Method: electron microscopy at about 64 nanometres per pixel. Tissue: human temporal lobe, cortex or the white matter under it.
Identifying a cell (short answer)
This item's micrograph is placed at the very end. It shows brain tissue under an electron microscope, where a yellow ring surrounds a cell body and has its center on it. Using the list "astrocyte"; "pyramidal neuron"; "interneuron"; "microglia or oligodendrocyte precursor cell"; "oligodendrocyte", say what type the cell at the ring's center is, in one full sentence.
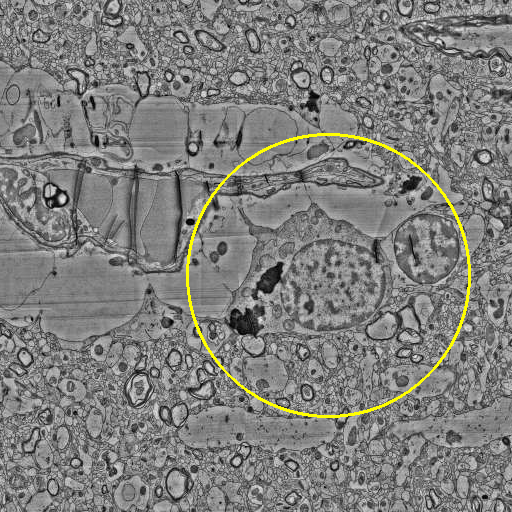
This picture shows an oligodendrocyte at the center of the yellow ring drawn on it.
